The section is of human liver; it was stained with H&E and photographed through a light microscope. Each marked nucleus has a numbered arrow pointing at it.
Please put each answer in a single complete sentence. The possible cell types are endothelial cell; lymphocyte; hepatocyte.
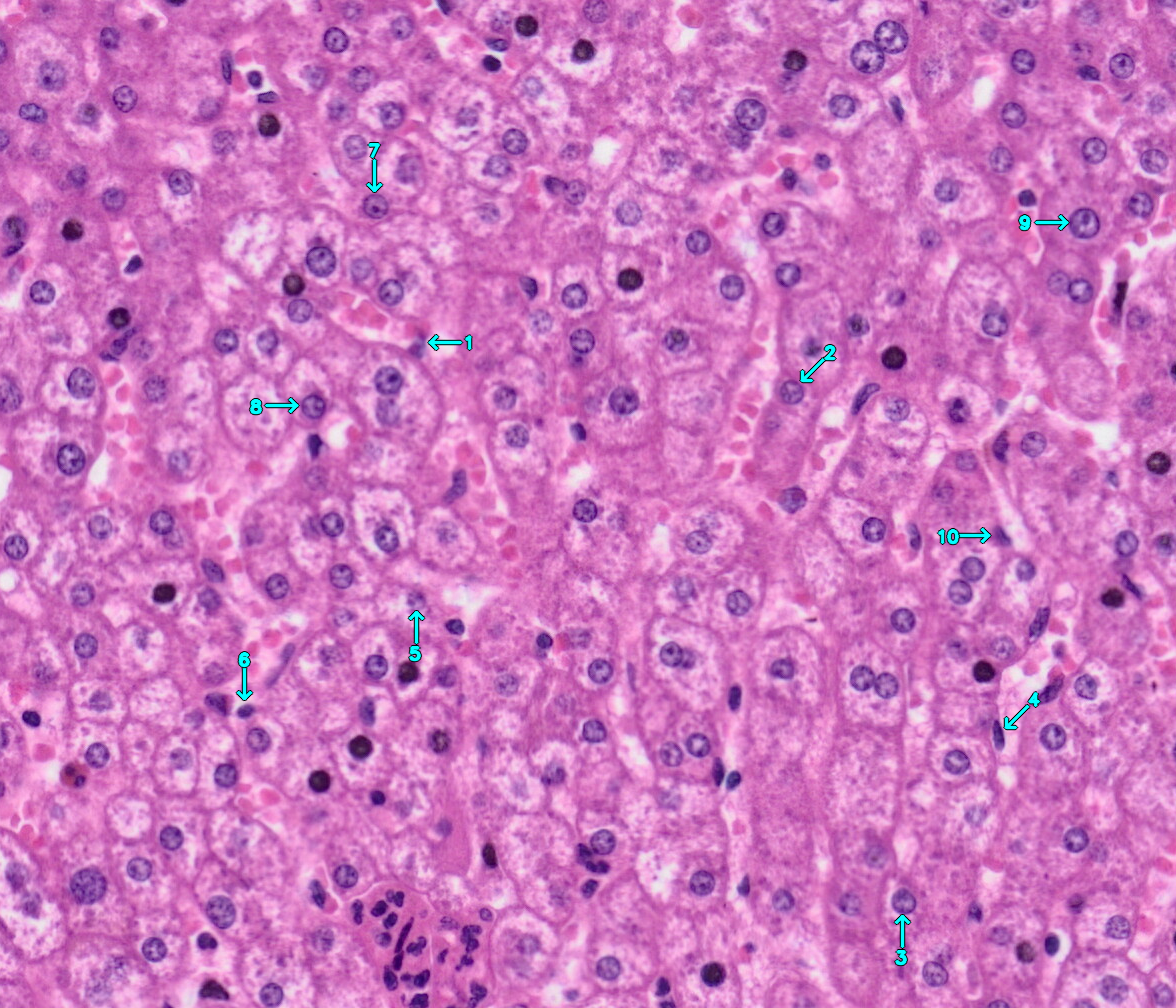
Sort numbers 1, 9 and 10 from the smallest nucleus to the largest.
Smallest first, the nuclei run 10, 1, 9.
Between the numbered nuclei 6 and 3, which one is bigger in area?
Nucleus 3 is larger, with an area about 2 times that of nucleus 6.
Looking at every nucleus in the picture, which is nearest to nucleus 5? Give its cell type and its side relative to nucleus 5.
A lymphocyte lies closest, below and to the right of nucleus 5.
